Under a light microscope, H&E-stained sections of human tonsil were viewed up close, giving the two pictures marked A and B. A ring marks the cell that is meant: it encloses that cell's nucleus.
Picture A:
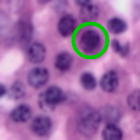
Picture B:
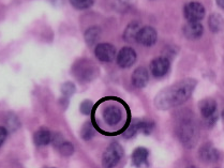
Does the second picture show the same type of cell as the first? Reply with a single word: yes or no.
yes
